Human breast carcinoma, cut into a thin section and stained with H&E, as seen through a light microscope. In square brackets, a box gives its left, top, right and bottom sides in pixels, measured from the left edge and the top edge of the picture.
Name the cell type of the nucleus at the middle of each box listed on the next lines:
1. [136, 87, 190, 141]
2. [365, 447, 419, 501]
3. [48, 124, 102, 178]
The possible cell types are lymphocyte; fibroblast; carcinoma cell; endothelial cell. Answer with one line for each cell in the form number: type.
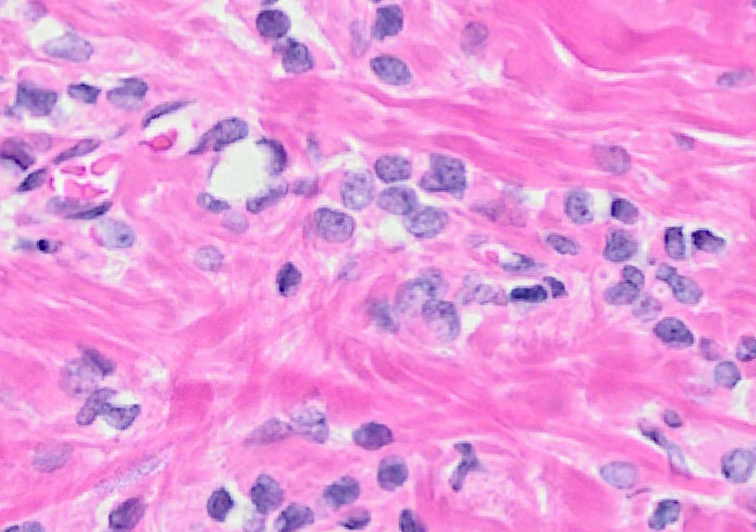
1: endothelial cell
2: carcinoma cell
3: endothelial cell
